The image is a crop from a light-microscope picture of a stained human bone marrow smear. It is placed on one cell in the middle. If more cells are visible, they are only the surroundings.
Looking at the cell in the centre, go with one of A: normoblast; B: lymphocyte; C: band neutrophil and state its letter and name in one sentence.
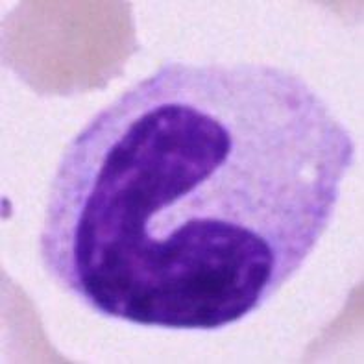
Here the central cell is a band neutrophil, and option C is correct.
